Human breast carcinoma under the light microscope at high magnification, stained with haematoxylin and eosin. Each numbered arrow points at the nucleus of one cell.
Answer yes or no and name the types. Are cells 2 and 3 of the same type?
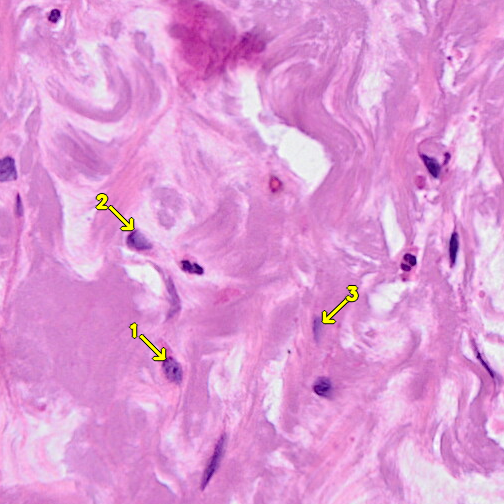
Yes, the numbered cells 2 and 3 are both fibroblasts.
